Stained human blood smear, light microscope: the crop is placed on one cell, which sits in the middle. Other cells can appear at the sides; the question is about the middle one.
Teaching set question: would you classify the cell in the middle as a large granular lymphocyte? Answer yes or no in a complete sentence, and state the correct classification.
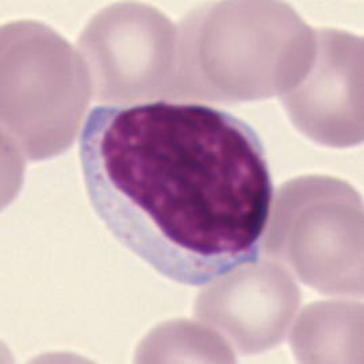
Yes, this crop has a large granular lymphocyte at its centre.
